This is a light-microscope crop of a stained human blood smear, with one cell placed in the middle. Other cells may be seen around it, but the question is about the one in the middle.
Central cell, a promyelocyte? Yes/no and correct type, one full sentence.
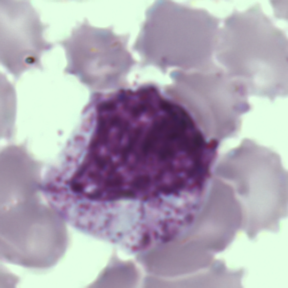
No, a myelocyte rather than a promyelocyte is the cell at the centre of the crop.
